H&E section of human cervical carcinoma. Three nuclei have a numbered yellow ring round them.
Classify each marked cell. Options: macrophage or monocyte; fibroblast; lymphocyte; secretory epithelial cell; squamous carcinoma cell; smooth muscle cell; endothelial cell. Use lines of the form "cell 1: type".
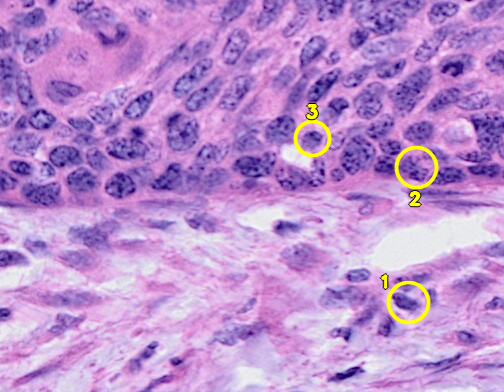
cell 1: lymphocyte
cell 2: squamous carcinoma cell
cell 3: squamous carcinoma cell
